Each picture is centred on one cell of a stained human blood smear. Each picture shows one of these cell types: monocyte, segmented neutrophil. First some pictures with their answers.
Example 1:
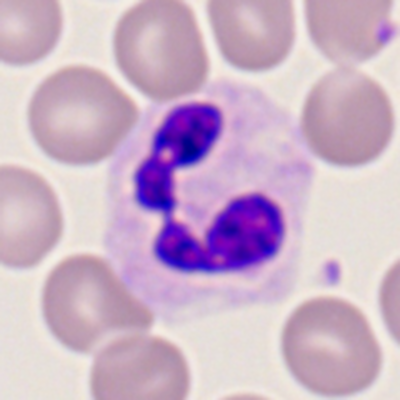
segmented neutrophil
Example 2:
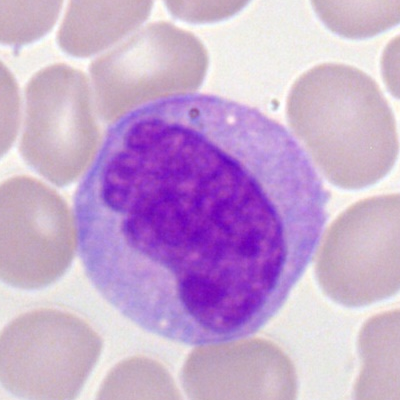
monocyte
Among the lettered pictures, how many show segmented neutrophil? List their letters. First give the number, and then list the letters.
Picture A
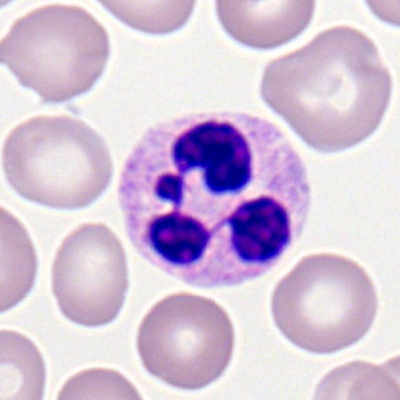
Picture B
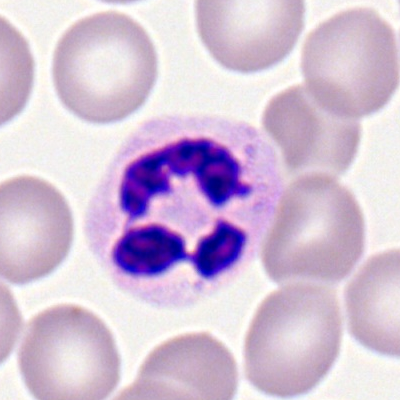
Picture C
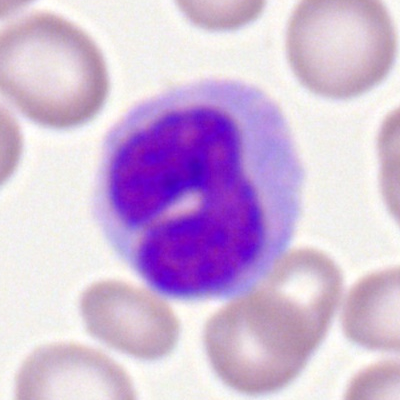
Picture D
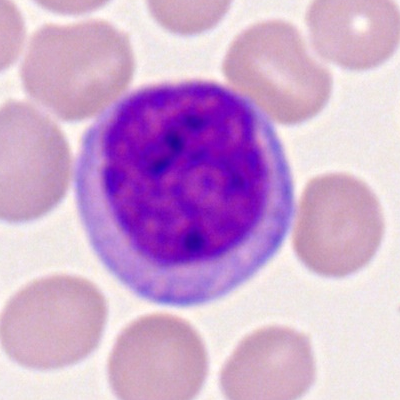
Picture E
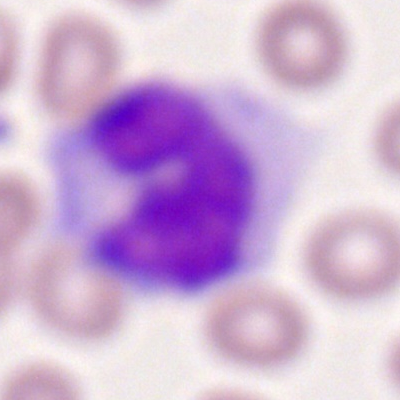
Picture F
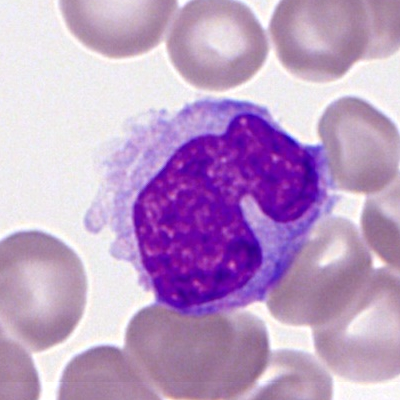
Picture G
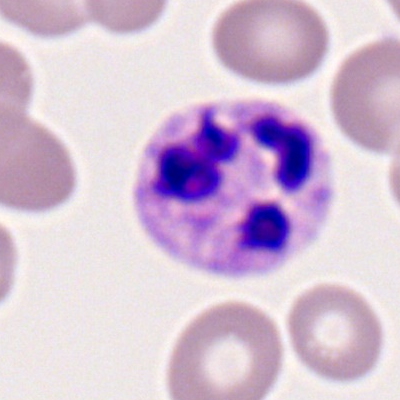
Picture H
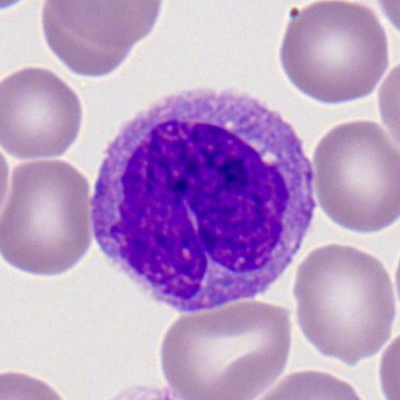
Count: 3 (A, B, G)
